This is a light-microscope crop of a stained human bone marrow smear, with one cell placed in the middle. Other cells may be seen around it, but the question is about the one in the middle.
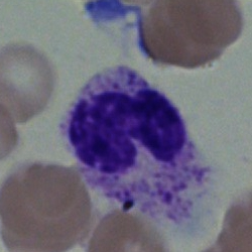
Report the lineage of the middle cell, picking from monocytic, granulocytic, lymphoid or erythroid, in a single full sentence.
The lineage to which the central cell belongs is the granulocytic lineage.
